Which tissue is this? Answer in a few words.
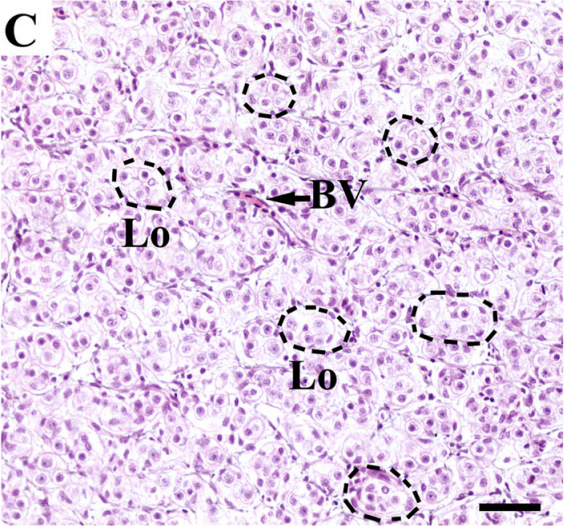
Testes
